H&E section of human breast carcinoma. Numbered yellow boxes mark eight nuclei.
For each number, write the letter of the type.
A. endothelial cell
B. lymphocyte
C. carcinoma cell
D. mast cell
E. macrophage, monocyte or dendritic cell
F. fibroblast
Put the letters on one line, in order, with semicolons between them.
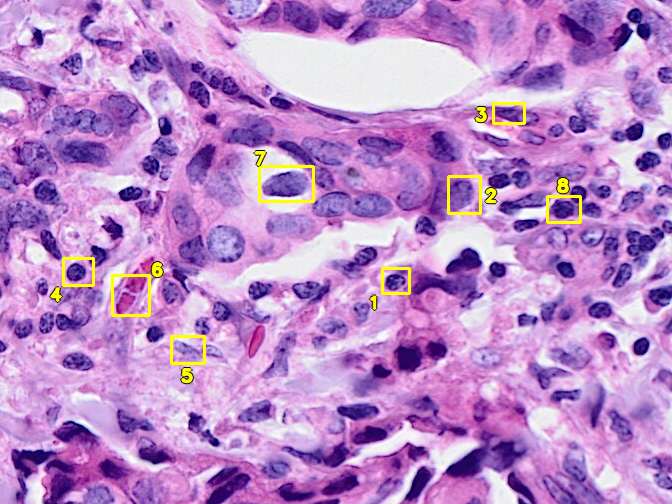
B; C; A; B; E; A; C; B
